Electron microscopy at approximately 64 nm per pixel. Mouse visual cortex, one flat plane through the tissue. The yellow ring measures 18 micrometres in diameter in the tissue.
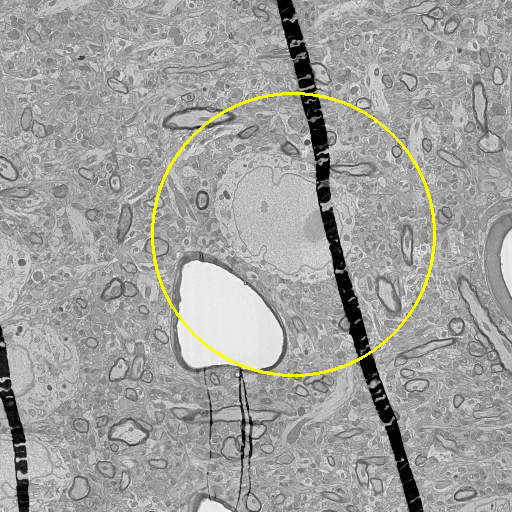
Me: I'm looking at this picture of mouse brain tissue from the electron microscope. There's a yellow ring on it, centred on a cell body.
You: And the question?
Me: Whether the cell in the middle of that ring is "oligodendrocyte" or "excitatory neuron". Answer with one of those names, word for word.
excitatory neuron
